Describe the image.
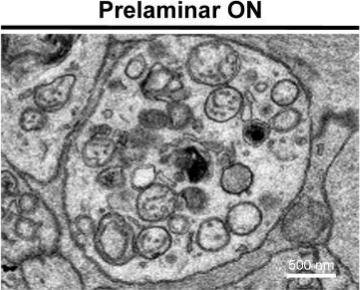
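A single large, rounded nerve-fibre profile of a retinal ganglion cell, seen in cross-section, is almost filled by a tight cluster of small round mitochondria. Each is bounded by a double membrane, and the inner structure is pale and scant in many of them. Near the centre of the cluster lie dark, electron-dense irregular bodies and pale vacuole-like spaces, giving a mixed, degradative look. The profile has a thin limiting membrane. Smaller neighbouring profiles around its edge contain a few single mitochondria of similar size, so the crowding inside this one profile stands out clearly.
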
